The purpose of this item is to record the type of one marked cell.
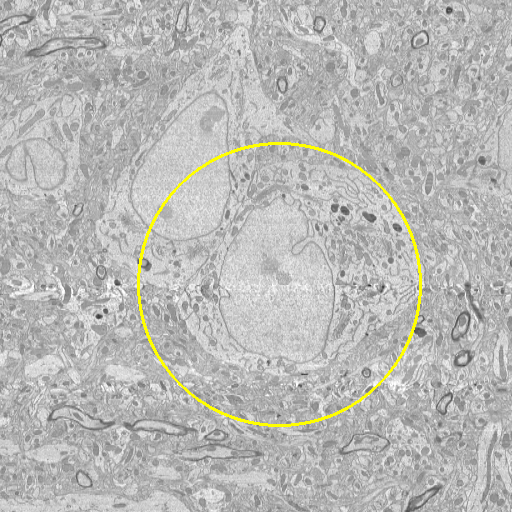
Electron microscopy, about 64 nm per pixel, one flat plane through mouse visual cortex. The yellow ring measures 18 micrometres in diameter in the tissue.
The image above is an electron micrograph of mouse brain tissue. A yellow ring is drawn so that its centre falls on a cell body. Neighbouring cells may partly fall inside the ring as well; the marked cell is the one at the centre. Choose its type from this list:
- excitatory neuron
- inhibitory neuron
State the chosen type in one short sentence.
What the ring marks here is an inhibitory neuron.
